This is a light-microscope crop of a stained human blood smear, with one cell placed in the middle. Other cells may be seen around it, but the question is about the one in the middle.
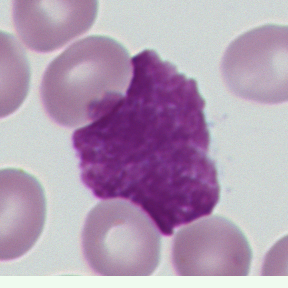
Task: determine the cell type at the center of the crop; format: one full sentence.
Regarding the central cell, it is a smudge cell.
